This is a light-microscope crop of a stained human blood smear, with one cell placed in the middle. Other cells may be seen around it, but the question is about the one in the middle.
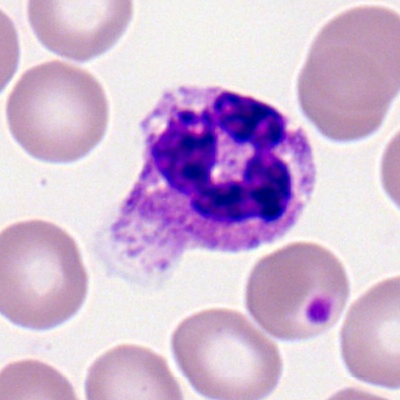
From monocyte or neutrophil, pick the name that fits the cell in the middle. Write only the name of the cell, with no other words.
neutrophil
